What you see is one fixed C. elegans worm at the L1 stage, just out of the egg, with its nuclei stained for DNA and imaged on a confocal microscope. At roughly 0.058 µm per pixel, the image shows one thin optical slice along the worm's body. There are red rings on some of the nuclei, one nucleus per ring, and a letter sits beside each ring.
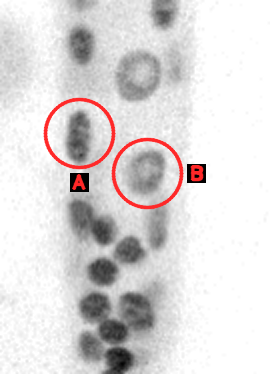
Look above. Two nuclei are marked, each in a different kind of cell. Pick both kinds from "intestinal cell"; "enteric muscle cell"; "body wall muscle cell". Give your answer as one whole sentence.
A is in an enteric muscle cell and B is in an intestinal cell.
